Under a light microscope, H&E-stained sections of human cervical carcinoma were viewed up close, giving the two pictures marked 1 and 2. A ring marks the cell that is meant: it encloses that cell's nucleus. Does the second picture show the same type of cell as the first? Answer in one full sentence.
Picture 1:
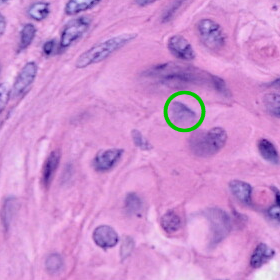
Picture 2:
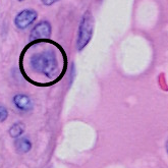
No; the cell in picture 1 is a squamous carcinoma cell, while the one in picture 2 is a smooth muscle cell.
